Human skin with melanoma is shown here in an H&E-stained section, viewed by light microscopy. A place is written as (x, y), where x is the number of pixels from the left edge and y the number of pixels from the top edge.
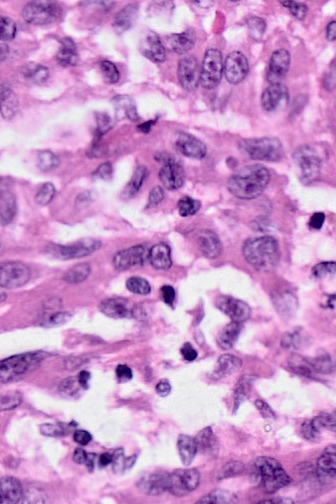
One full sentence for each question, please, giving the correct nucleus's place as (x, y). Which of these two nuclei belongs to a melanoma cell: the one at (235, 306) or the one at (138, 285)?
The nucleus whose cell is a melanoma cell is the one at (235, 306).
